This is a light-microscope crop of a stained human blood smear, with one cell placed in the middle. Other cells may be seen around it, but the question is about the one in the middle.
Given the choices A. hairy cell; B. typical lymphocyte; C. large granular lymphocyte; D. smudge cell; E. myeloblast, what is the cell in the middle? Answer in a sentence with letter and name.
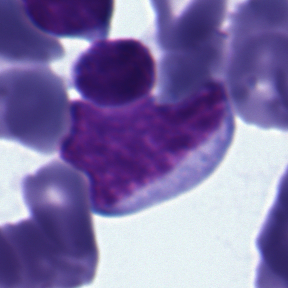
What sits in the middle of the crop is a myeloblast, and option E is correct.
